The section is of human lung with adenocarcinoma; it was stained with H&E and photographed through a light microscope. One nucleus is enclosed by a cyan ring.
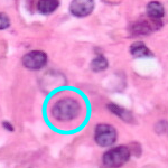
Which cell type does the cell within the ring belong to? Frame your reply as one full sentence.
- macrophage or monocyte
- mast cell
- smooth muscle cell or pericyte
The expected answer is simply that the cell within the ring is a mast cell.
